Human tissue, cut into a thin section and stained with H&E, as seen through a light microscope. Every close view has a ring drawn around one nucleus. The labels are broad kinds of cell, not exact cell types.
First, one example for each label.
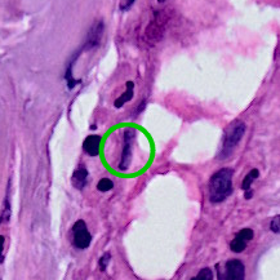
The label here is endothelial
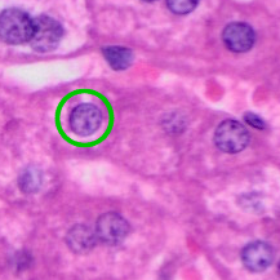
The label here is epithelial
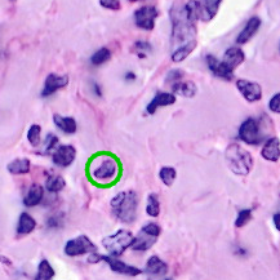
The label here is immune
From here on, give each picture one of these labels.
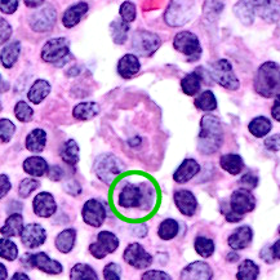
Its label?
immune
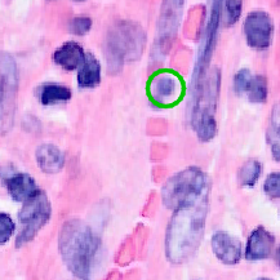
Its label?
endothelial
